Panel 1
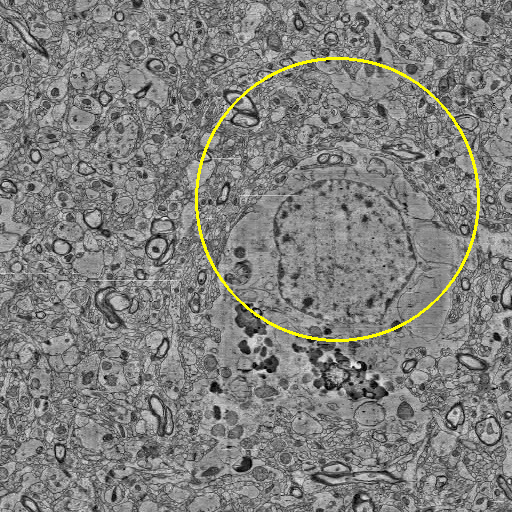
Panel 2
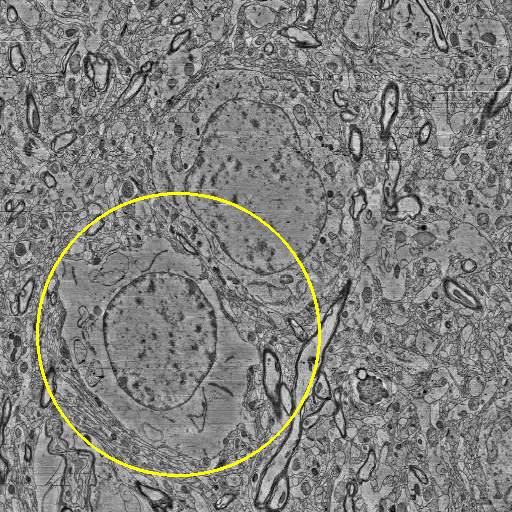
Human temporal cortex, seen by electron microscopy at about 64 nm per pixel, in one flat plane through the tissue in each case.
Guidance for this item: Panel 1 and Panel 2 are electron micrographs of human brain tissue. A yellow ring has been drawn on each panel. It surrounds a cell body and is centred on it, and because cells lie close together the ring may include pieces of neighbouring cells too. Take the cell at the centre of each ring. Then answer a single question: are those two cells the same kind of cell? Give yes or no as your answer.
yes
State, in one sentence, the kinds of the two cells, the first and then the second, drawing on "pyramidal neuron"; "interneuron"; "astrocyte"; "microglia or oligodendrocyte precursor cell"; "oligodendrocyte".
Each of the two pictures has an astrocyte at the ring centre.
